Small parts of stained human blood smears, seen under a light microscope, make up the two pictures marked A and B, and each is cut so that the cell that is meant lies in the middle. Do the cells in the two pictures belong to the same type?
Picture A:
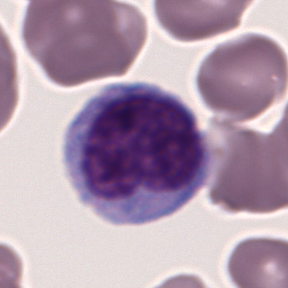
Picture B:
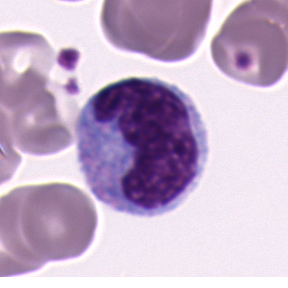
yes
